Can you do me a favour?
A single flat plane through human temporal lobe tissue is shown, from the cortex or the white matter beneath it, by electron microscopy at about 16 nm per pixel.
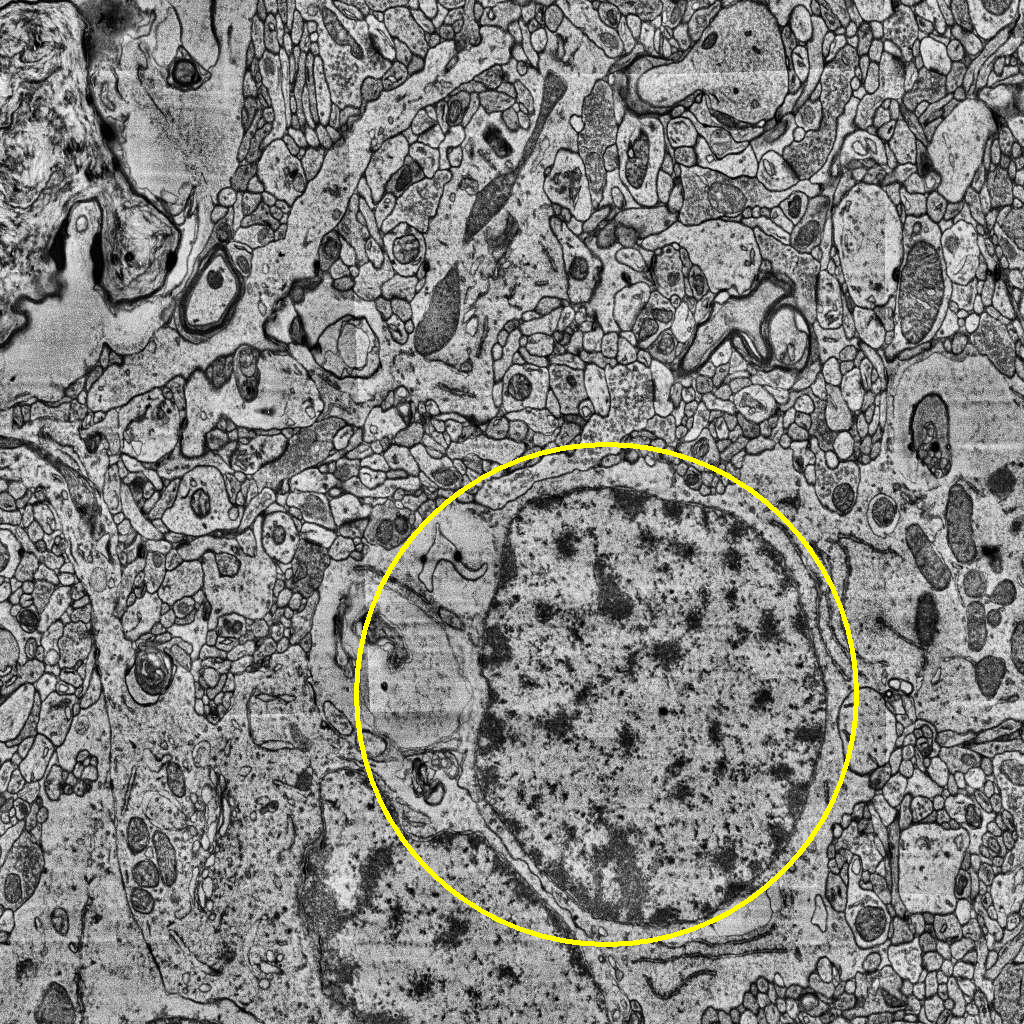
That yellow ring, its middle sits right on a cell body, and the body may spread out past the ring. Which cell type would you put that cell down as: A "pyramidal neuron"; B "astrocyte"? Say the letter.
B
